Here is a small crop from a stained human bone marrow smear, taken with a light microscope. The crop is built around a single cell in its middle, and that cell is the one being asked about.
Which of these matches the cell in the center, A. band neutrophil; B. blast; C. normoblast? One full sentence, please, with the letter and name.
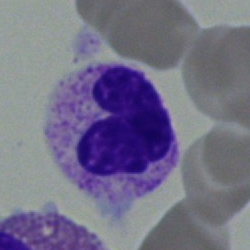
Option A is the correct selection, for the cell at the centre is a band neutrophil.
